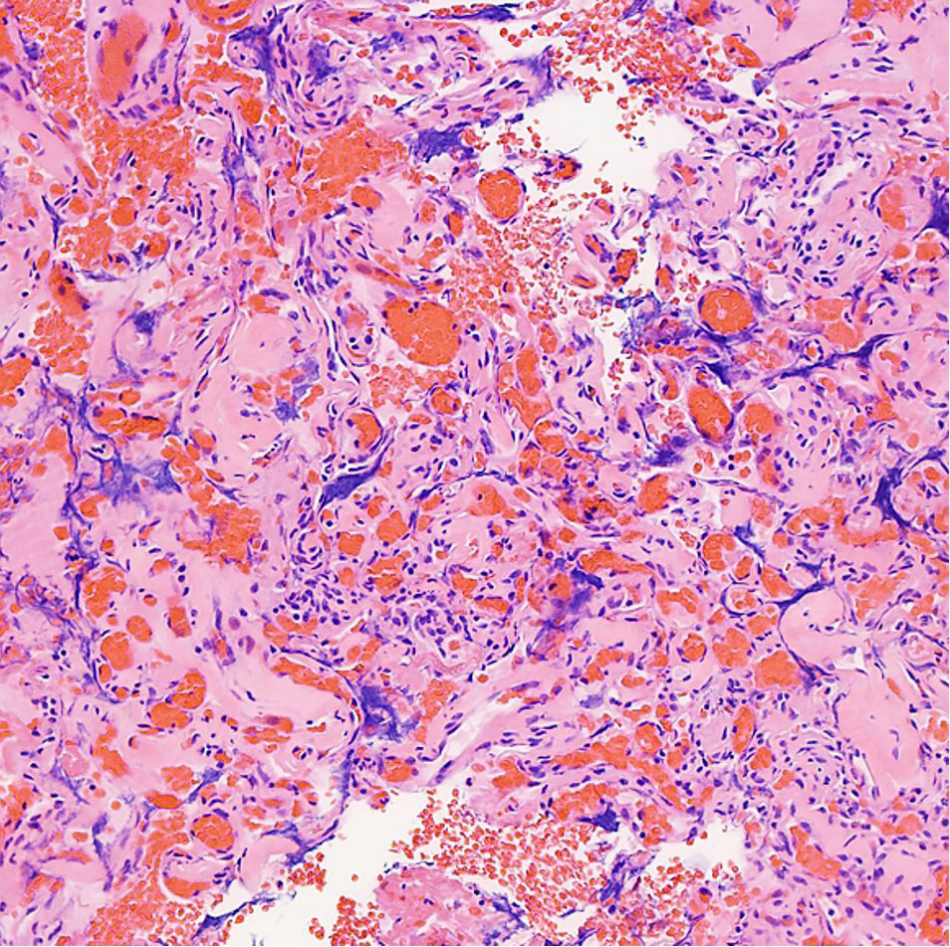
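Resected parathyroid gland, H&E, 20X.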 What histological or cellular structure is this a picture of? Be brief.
Endothelium-lined intercommunicating vascular channels filled with blood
